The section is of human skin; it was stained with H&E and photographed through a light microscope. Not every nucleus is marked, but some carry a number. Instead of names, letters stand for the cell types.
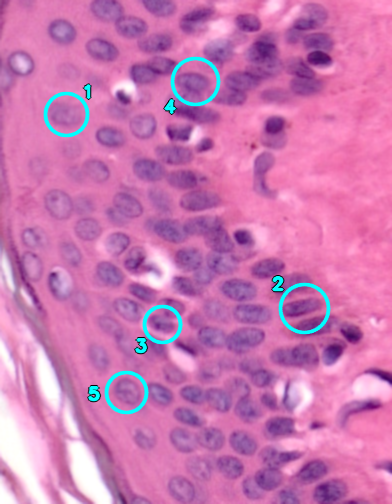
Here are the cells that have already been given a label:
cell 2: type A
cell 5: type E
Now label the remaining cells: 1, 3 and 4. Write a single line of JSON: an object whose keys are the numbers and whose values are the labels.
{"1": "type E", "3": "type A", "4": "type A"}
